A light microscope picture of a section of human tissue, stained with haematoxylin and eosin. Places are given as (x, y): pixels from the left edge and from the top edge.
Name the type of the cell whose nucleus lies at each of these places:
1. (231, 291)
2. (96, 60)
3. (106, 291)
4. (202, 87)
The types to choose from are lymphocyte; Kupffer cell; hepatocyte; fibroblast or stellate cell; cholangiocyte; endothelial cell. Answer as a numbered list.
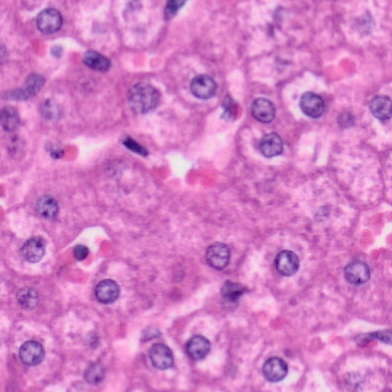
1. endothelial cell
2. fibroblast or stellate cell
3. hepatocyte
4. hepatocyte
